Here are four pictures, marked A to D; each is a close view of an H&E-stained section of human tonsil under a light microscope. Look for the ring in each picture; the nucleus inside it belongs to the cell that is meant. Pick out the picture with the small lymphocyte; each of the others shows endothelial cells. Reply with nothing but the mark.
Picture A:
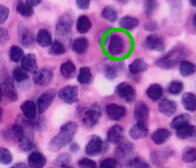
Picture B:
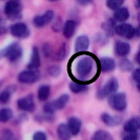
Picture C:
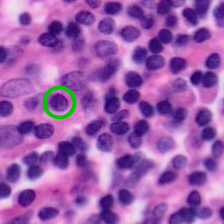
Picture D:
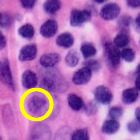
B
